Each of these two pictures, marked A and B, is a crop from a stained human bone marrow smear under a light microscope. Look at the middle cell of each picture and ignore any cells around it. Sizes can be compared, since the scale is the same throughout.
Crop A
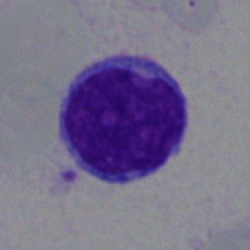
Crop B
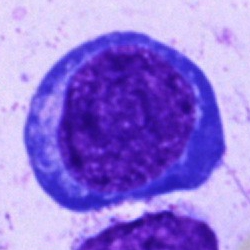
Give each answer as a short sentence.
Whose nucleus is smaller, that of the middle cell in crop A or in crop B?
The nucleus in crop A is smaller; the one in crop B has about 1.5 times its area.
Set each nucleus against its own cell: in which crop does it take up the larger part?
In crop A the nucleus takes up the larger part of its cell.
